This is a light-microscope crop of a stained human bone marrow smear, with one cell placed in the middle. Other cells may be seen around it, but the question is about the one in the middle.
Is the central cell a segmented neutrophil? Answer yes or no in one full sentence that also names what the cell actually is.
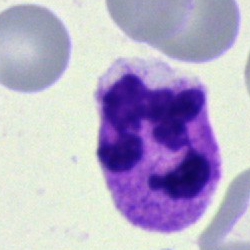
Yes, the cell occupying the middle of the crop is a segmented neutrophil.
